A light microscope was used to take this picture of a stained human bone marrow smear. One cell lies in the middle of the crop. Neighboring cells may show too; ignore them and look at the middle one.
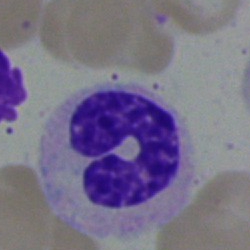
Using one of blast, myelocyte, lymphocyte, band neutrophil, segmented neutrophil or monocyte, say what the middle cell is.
band neutrophil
